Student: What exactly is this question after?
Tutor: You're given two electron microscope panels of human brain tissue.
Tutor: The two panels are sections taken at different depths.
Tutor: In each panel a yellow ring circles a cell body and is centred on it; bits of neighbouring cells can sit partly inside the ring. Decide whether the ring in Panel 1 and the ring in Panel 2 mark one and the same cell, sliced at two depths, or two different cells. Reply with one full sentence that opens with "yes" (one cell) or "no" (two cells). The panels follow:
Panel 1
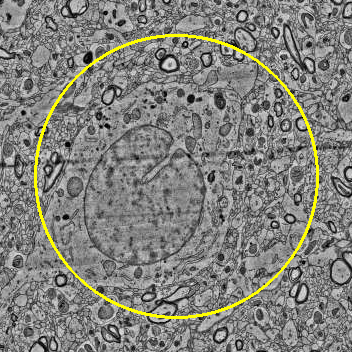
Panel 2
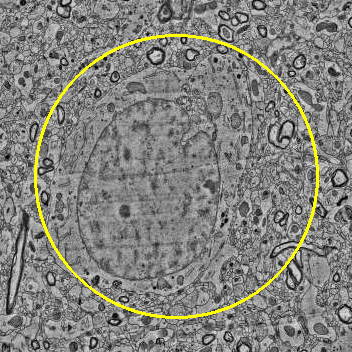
Yes, the two marked outlines come from one and the same cell.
